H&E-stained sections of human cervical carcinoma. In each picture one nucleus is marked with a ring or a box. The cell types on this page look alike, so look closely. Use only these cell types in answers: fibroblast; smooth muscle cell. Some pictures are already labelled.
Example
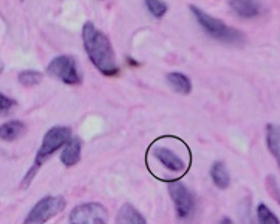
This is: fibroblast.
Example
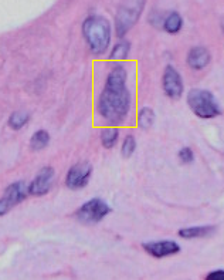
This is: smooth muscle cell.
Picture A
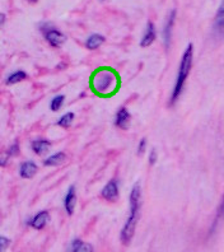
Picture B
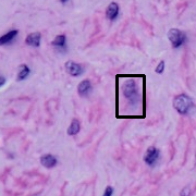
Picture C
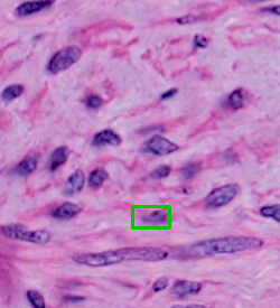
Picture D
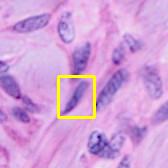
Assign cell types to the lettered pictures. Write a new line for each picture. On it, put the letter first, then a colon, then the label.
A: smooth muscle cell.
B: smooth muscle cell.
C: smooth muscle cell.
D: smooth muscle cell.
